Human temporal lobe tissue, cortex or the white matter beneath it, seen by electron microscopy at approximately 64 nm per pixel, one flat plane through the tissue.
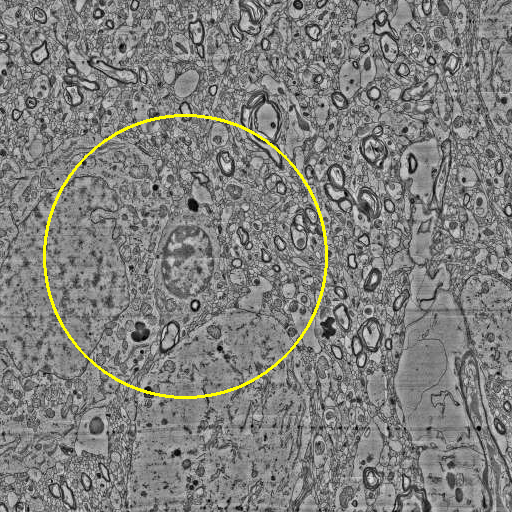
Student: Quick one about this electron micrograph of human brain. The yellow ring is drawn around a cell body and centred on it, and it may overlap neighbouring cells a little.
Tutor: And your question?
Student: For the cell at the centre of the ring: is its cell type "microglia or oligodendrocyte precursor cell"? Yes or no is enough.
no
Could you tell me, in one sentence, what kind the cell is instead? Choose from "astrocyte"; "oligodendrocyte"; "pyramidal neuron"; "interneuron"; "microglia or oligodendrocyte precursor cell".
The cell at the ring centre is an oligodendrocyte.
